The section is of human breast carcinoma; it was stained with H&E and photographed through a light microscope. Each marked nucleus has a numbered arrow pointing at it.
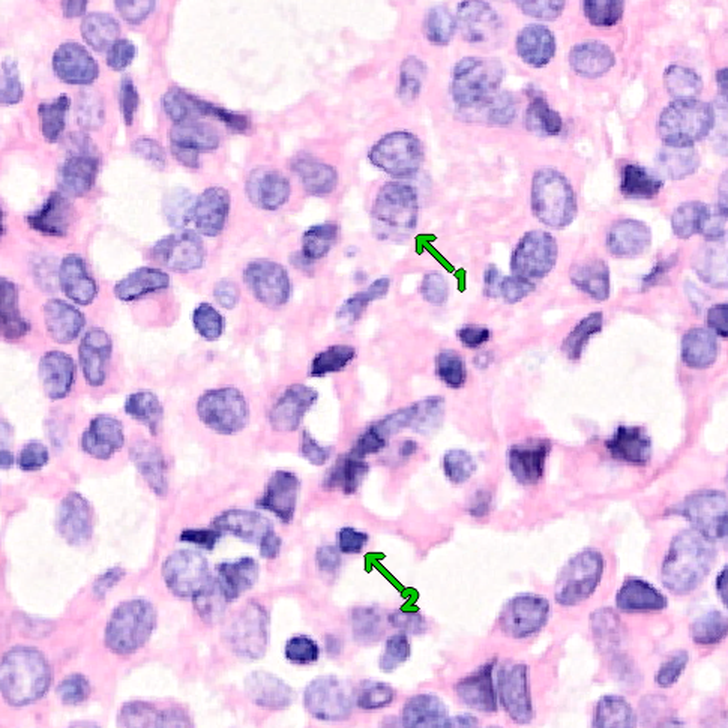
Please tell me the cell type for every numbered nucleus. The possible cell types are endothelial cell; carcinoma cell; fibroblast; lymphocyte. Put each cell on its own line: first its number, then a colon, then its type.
1: carcinoma cell
2: lymphocyte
